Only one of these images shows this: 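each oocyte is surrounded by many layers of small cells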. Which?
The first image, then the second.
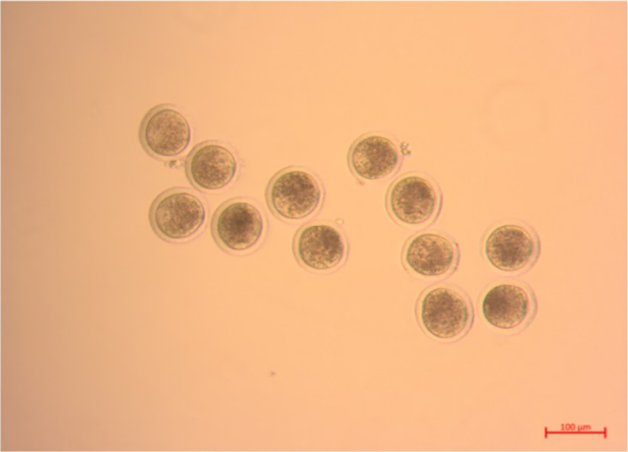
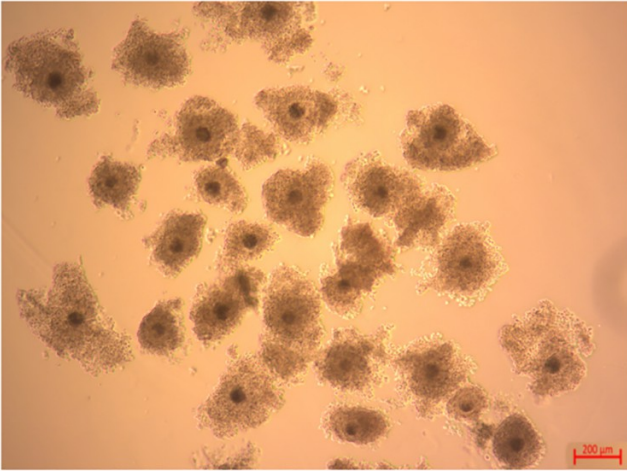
The second image.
